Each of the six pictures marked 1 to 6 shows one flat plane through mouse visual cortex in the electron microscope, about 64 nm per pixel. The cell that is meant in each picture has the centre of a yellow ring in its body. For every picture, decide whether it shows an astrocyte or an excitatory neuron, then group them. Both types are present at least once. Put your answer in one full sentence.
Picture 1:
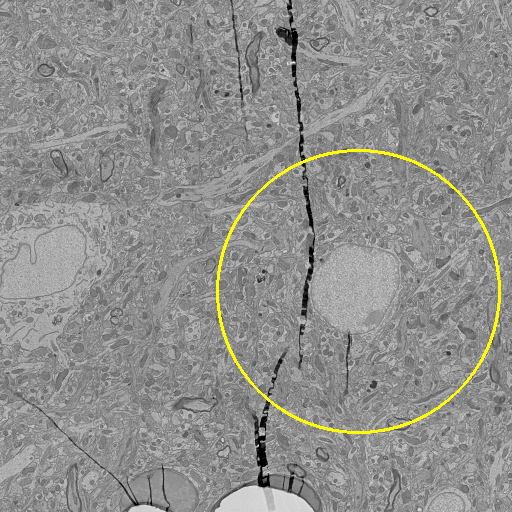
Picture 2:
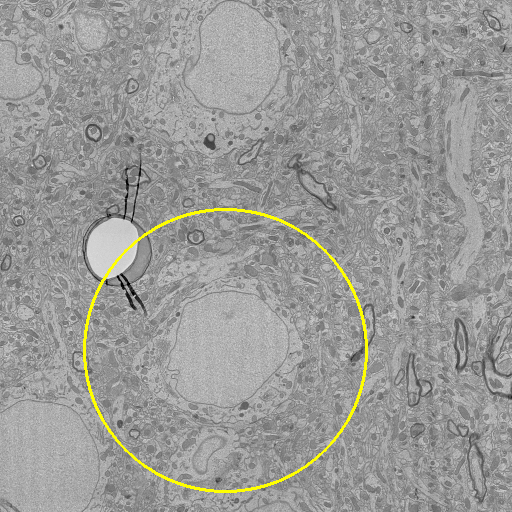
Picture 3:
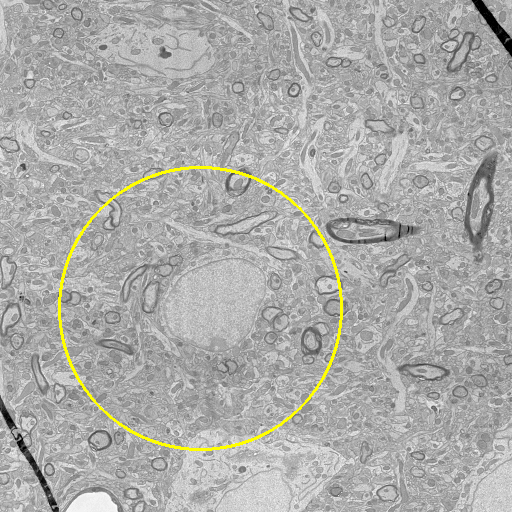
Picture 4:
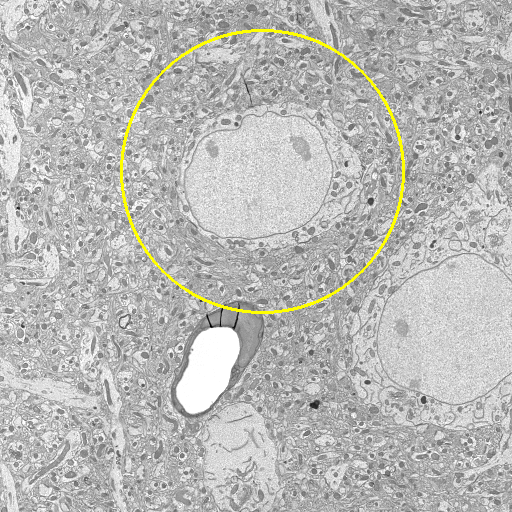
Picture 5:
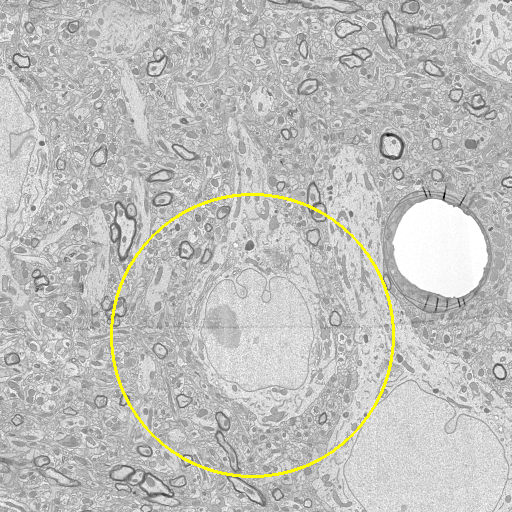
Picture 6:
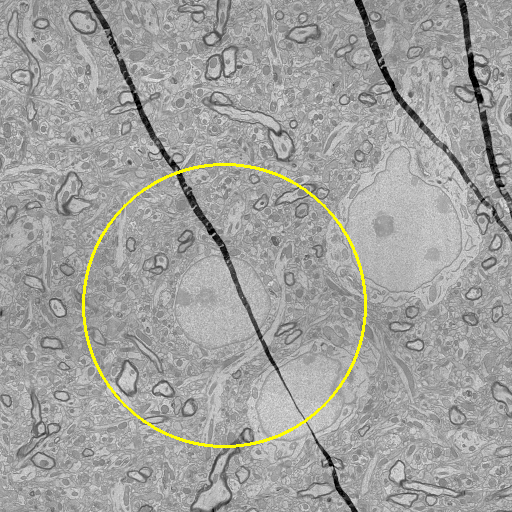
Pictures 1, 3 and 6 show astrocytes, and pictures 2, 4 and 5 show excitatory neurons.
